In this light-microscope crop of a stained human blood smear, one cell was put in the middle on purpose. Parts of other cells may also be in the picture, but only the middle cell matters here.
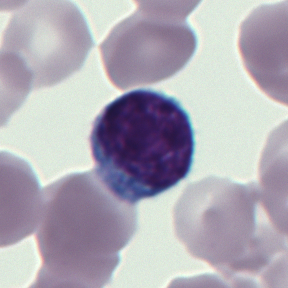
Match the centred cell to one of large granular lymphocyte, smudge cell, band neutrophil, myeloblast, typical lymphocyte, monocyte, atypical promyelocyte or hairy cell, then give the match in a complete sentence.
In this smear crop, the middle cell is a typical lymphocyte.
